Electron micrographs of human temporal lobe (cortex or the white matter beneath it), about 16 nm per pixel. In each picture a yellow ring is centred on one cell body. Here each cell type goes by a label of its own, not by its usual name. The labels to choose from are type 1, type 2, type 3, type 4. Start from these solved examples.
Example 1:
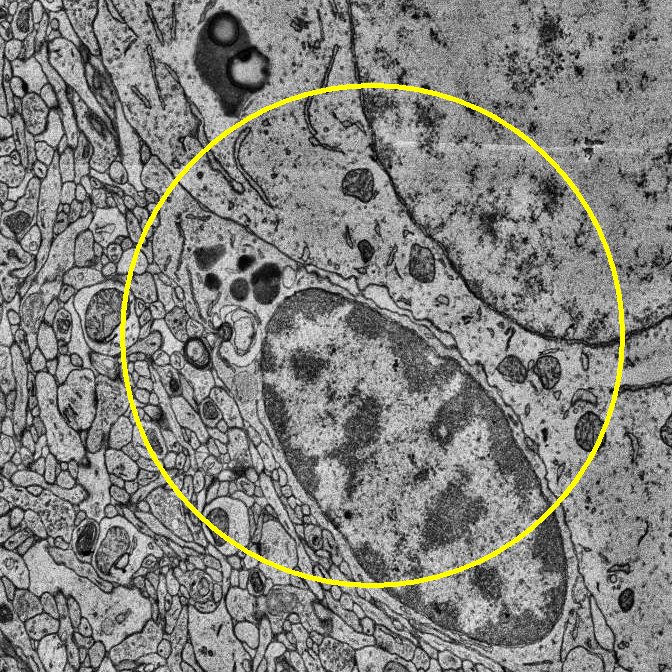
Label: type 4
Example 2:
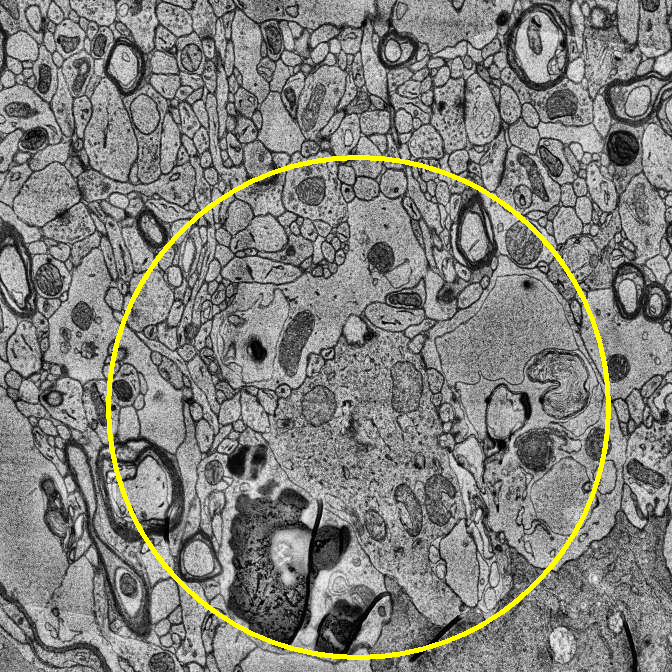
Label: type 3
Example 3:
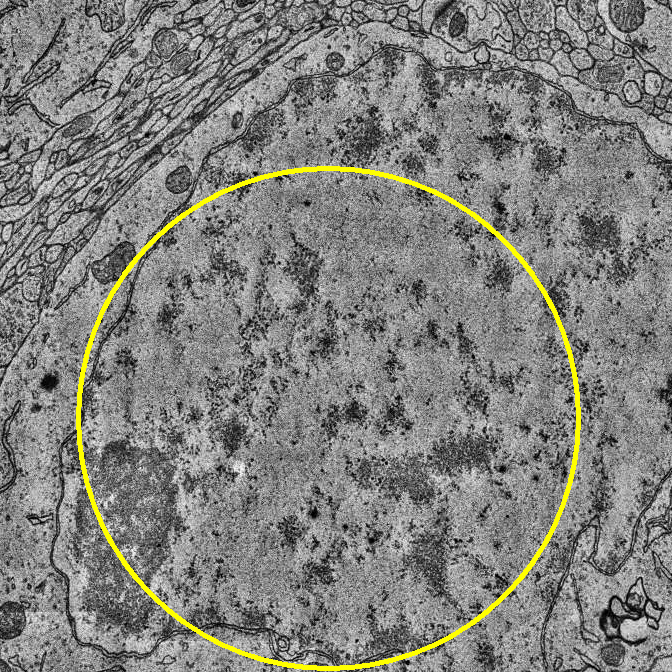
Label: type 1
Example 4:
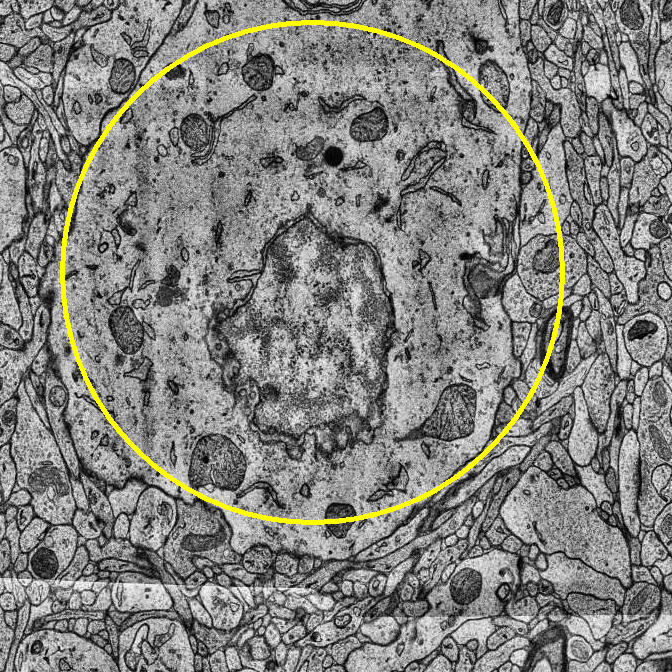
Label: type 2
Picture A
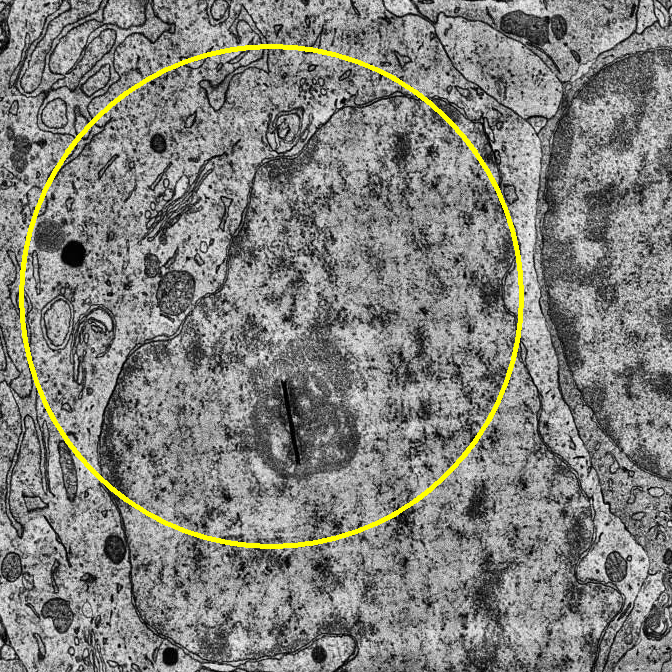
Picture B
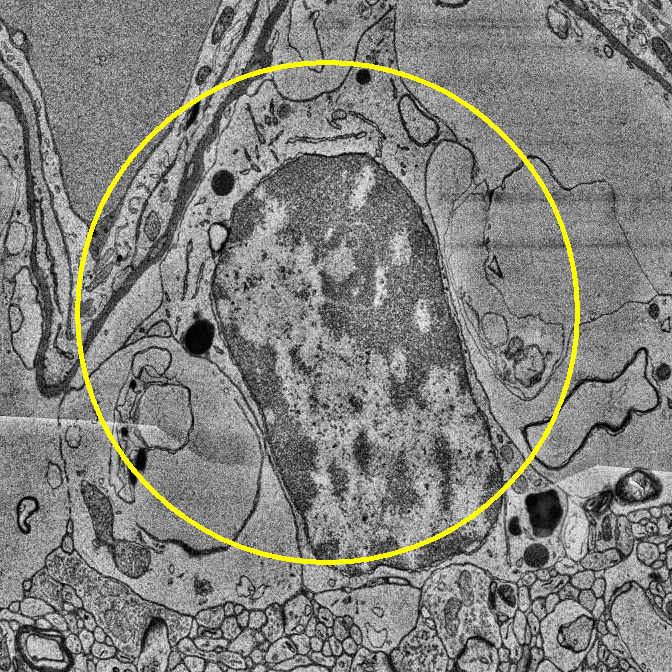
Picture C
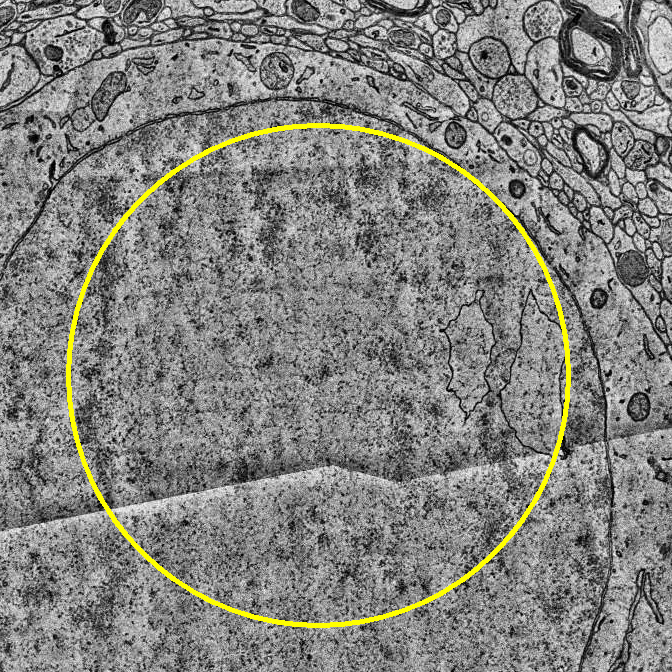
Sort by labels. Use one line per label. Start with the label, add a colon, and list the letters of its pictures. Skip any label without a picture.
type 1: A
type 2: C
type 4: B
